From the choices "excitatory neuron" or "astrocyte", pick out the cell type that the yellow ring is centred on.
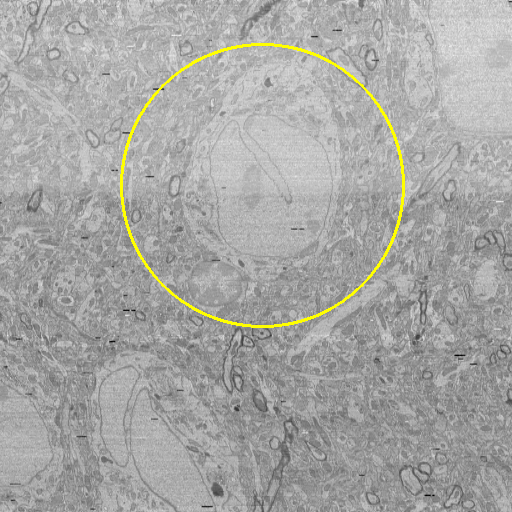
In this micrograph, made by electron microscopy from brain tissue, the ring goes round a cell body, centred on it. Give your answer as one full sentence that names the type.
The yellow ring is centred on an excitatory neuron, whose cell body it encircles in the picture.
